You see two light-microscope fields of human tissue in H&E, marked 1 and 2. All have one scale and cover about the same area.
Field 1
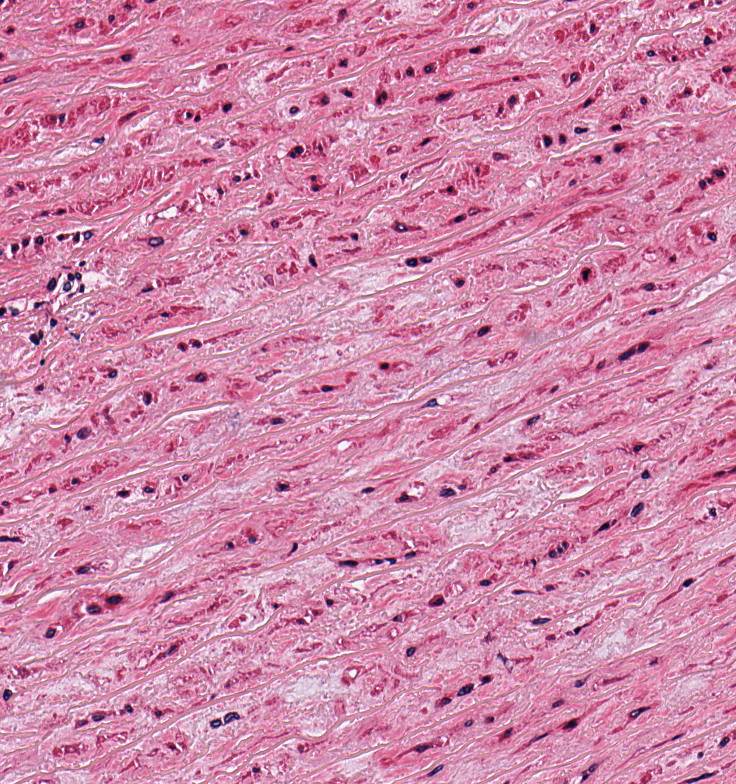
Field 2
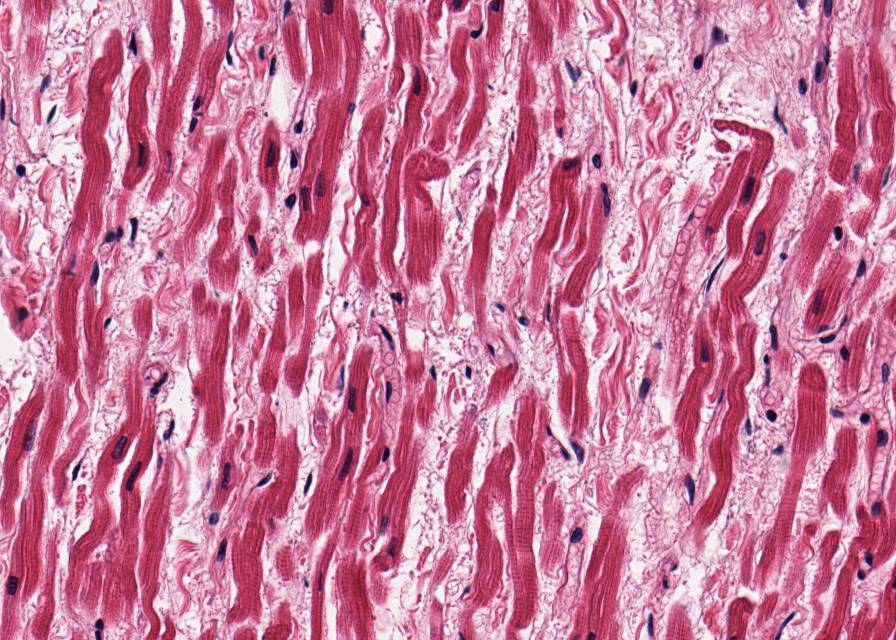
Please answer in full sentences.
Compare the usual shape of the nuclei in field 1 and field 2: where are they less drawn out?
On the whole the nuclei of field 1 are rounder than those of field 2.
